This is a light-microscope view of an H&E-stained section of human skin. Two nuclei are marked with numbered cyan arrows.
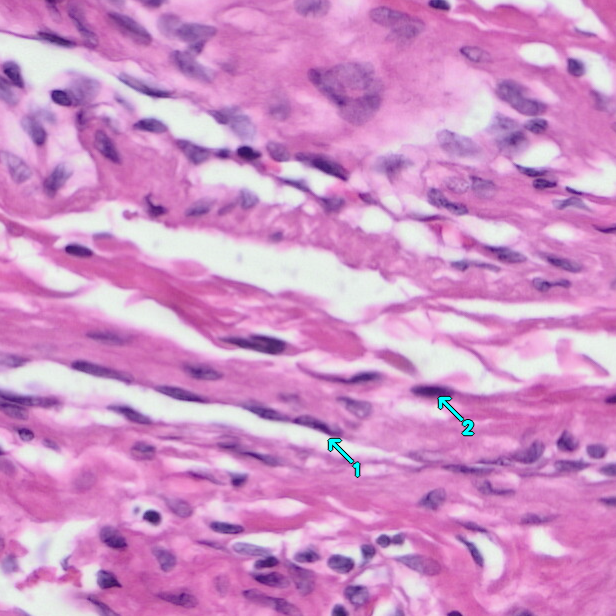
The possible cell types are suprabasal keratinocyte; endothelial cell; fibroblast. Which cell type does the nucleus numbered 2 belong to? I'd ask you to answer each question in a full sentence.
Marked with the number 2, this cell is a fibroblast.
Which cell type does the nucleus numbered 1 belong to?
In the marked set, the cell given number 1 is an endothelial cell.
